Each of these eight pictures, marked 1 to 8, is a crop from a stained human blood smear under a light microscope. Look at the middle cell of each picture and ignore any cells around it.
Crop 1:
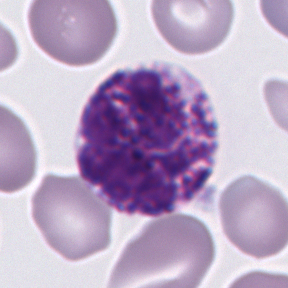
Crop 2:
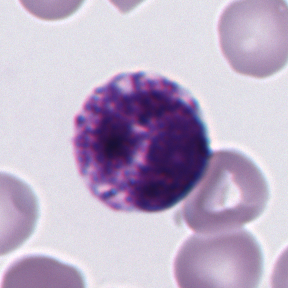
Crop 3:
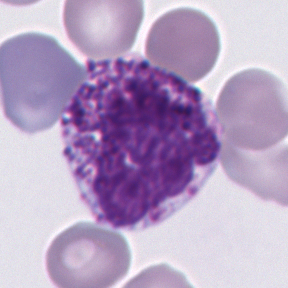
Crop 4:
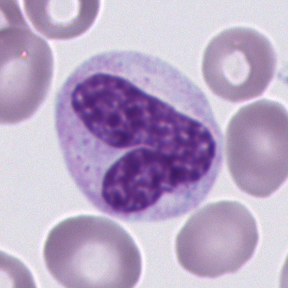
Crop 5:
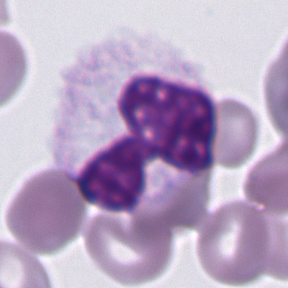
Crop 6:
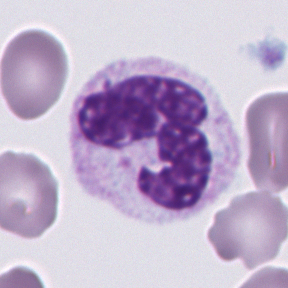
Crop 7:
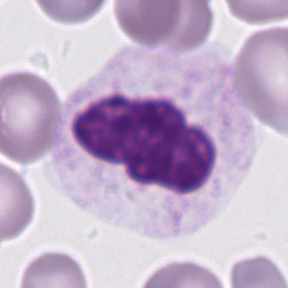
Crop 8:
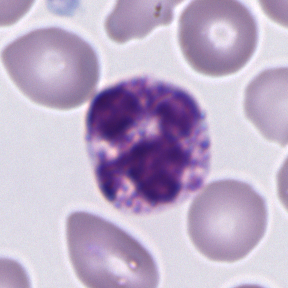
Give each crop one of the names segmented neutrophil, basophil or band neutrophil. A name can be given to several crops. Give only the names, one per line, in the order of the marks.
basophil
basophil
basophil
band neutrophil
segmented neutrophil
segmented neutrophil
segmented neutrophil
basophil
